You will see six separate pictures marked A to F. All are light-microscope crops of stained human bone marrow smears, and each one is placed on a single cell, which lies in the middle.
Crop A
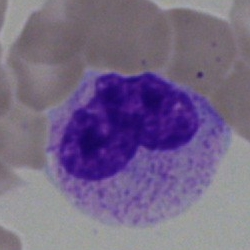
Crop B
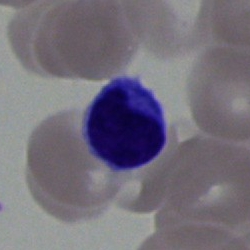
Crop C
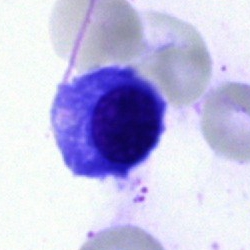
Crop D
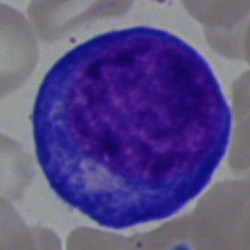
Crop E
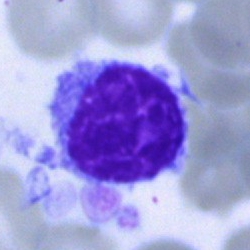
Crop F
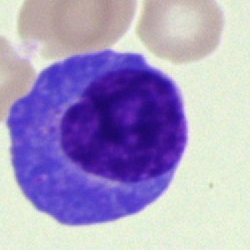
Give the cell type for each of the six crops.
A: metamyelocyte
B: lymphocyte
C: plasma cell
D: proerythroblast
E: hairy cell
F: plasma cell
